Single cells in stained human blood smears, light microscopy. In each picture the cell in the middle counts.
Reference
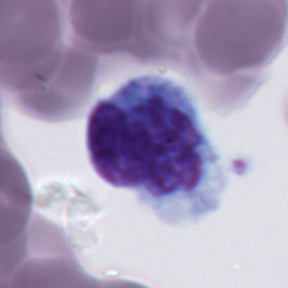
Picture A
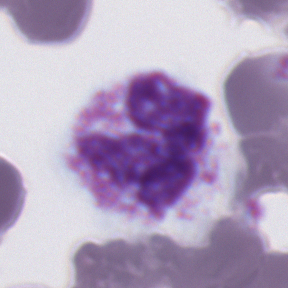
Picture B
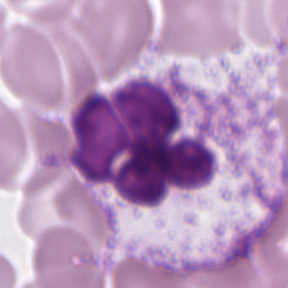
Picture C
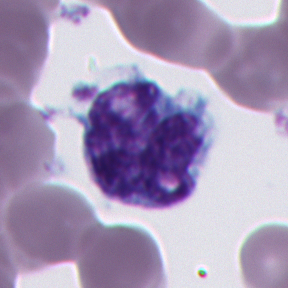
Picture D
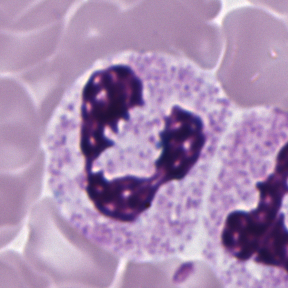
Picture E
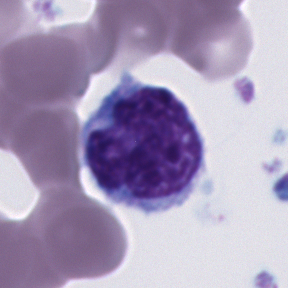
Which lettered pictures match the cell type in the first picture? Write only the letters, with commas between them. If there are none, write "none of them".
C, E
